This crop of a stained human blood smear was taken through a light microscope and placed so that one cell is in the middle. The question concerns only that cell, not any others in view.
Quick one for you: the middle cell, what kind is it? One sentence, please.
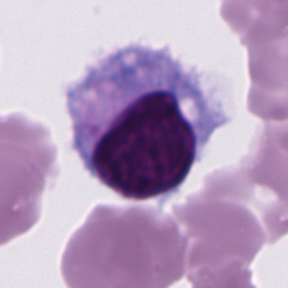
The cell positioned in the middle of the field is a hairy cell.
